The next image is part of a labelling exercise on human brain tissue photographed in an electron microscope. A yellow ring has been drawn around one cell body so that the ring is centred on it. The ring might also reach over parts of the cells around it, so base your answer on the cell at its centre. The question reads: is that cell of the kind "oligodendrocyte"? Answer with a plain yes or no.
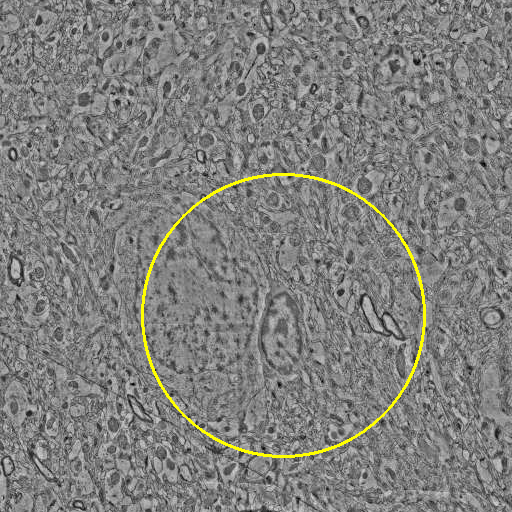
yes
